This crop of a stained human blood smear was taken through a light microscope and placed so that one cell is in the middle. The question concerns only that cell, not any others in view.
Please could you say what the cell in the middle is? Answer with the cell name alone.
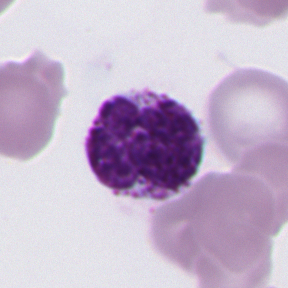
basophil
